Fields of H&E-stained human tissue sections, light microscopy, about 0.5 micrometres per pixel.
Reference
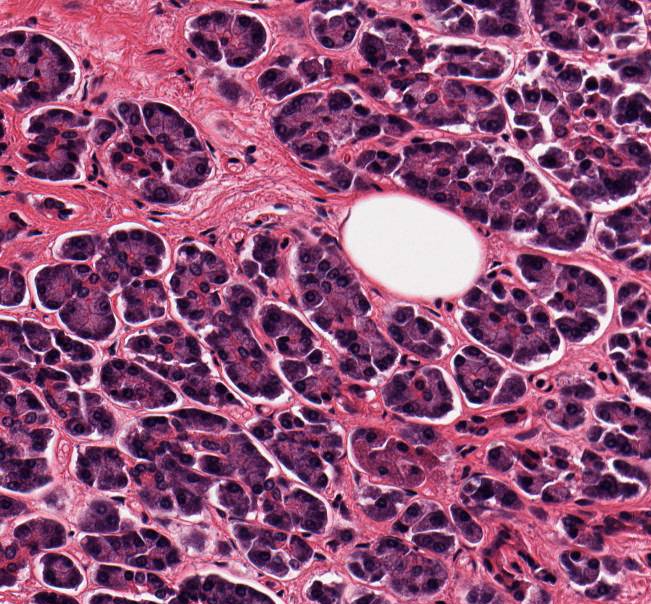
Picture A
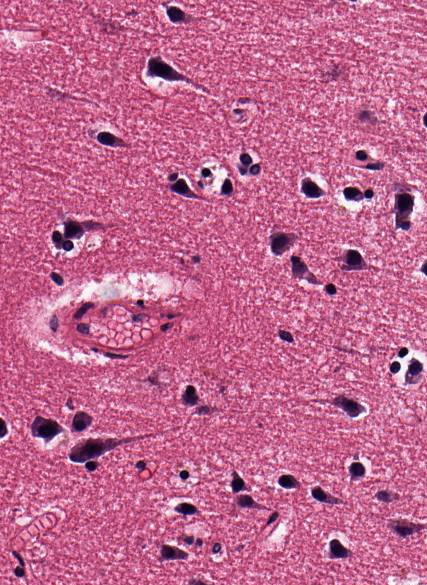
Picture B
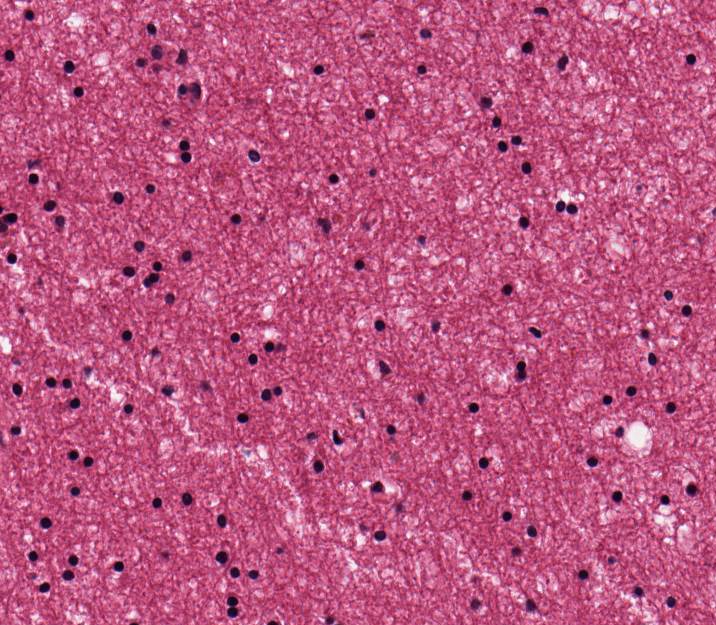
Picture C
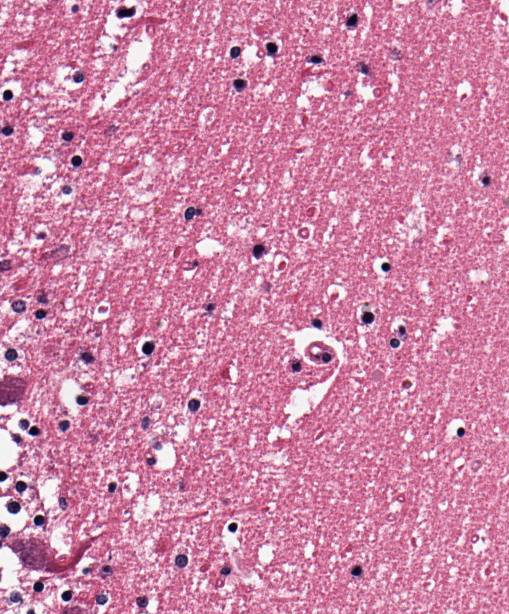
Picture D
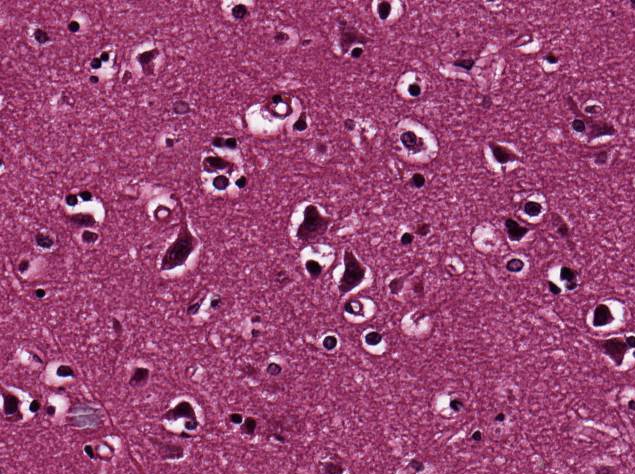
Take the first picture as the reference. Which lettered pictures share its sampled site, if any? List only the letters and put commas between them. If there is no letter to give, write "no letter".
no letter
